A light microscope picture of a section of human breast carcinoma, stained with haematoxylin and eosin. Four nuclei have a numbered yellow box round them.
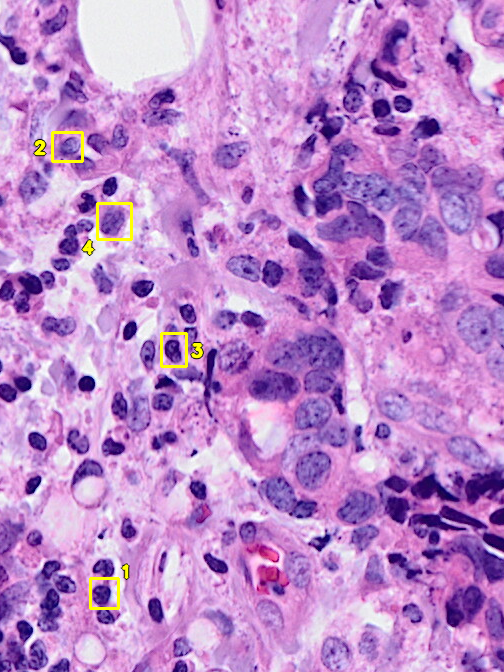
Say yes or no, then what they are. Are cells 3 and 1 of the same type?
Yes, in terms of cell type, cells 3 and 1 are both lymphocytes.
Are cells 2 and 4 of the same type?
No, cell 2 is an endothelial cell, and as for cell 4, it is a macrophage, monocyte or dendritic cell.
